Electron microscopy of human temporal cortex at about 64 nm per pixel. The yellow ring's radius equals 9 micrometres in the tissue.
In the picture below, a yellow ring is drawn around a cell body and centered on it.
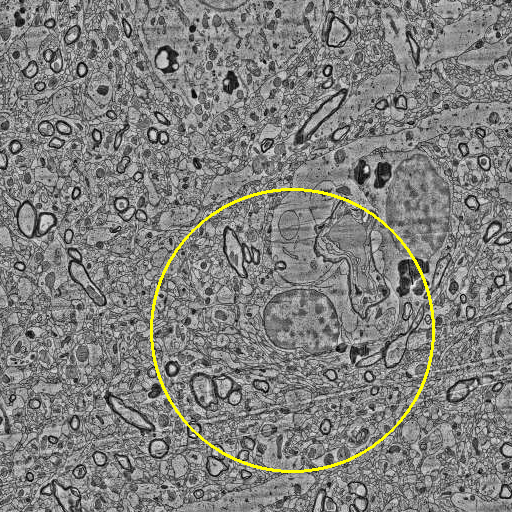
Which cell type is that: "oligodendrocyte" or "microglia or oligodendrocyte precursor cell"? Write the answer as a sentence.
The cell centered in the ring is a microglial cell or oligodendrocyte precursor cell.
